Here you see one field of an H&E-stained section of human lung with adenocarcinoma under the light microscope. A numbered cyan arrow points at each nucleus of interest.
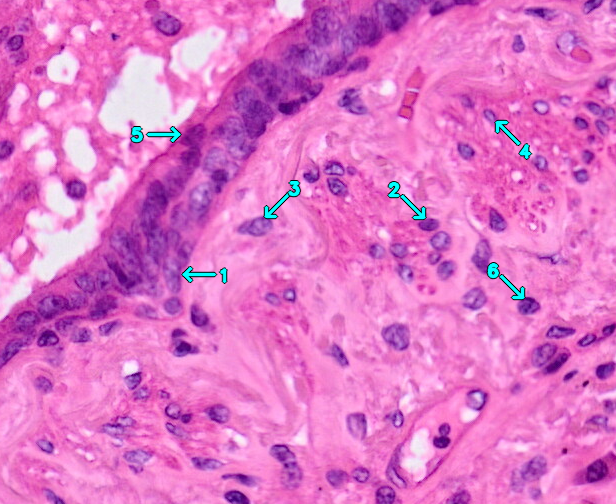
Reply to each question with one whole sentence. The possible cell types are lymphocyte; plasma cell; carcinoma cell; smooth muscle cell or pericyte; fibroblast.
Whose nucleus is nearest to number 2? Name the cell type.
Number 2 lies closest to the nucleus of a smooth muscle cell or pericyte.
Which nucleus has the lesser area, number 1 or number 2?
With nucleus 1 about 2.5 times its size, nucleus 2 is the smaller of the two.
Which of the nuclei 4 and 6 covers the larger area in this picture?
Nucleus 6 is the larger one, covering about 2 times the area of nucleus 4.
